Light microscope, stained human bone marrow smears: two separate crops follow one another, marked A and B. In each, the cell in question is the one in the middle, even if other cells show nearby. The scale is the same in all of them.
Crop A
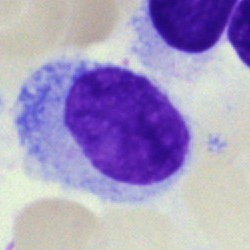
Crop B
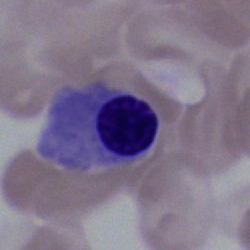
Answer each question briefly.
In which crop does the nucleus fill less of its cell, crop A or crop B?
B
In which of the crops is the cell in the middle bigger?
A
